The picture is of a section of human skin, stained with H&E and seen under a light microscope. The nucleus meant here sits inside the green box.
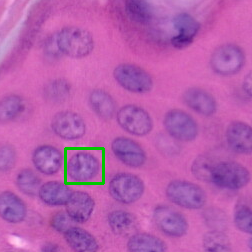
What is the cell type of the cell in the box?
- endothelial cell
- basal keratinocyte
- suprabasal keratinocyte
suprabasal keratinocyte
